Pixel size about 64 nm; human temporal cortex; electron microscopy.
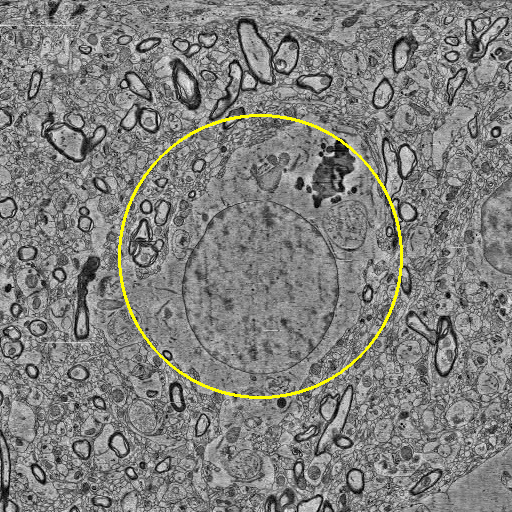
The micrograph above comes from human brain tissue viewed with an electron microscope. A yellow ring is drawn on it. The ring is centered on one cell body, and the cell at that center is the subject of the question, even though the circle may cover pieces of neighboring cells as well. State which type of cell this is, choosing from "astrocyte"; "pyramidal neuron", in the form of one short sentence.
The cell the ring is centered on is an astrocyte.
